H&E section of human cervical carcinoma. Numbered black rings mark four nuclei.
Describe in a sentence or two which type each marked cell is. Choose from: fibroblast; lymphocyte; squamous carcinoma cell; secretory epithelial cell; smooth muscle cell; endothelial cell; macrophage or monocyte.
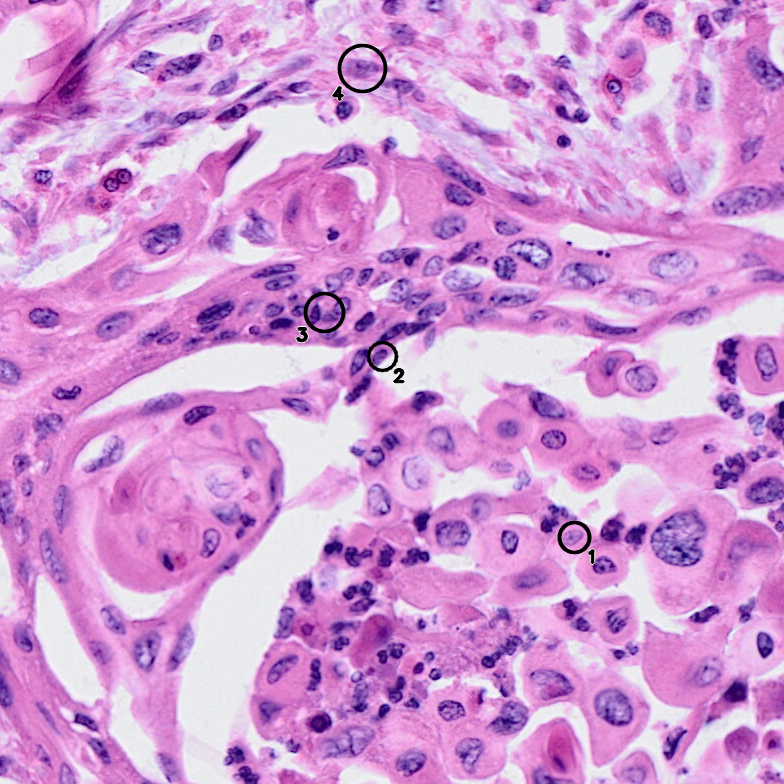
Cell 1 is a squamous carcinoma cell, cell 2 is a squamous carcinoma cell, cell 3 is a squamous carcinoma cell and cell 4 is a fibroblast.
